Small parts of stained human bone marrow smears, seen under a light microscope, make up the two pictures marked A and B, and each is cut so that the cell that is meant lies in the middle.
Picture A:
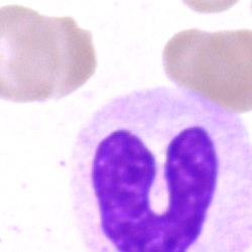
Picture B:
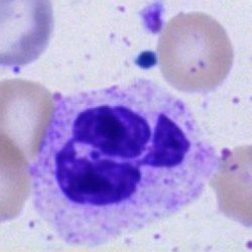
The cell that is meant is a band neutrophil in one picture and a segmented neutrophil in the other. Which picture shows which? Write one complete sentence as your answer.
Picture B shows a segmented neutrophil, while picture A shows a band neutrophil.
